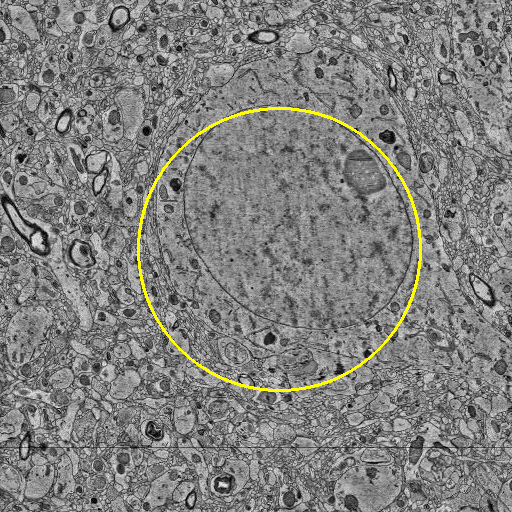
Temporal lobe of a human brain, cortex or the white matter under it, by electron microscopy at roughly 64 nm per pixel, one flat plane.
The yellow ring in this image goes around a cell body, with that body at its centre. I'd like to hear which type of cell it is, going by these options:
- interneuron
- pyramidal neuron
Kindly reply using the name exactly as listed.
pyramidal neuron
